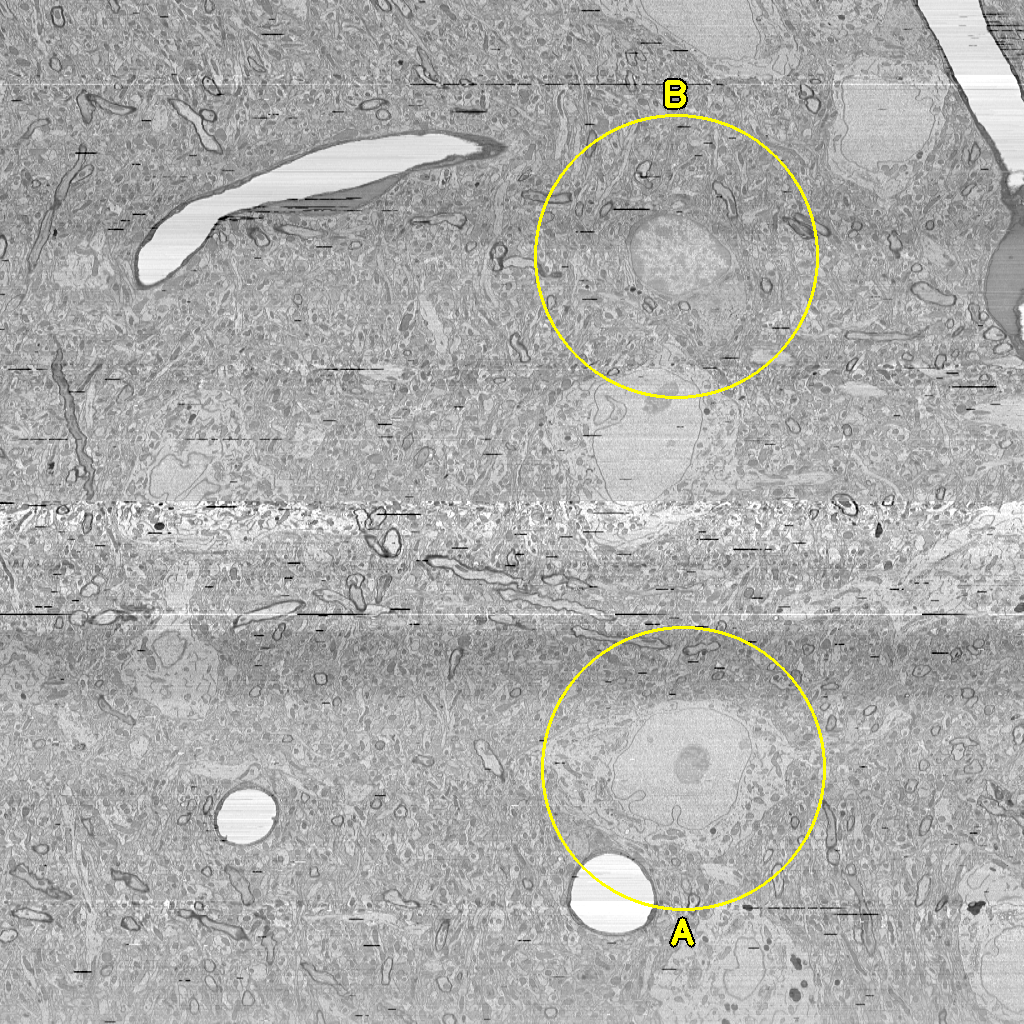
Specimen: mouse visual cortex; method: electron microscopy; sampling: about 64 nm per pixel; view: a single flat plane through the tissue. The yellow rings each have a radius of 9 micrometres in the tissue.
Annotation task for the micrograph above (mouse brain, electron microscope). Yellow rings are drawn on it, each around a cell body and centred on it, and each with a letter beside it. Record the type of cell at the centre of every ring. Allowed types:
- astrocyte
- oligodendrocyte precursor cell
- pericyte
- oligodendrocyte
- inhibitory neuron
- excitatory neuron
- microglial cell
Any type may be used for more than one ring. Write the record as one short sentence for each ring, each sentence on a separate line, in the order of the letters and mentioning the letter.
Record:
The cell centred in ring A is an excitatory neuron.
The cell centred in ring B is an oligodendrocyte.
